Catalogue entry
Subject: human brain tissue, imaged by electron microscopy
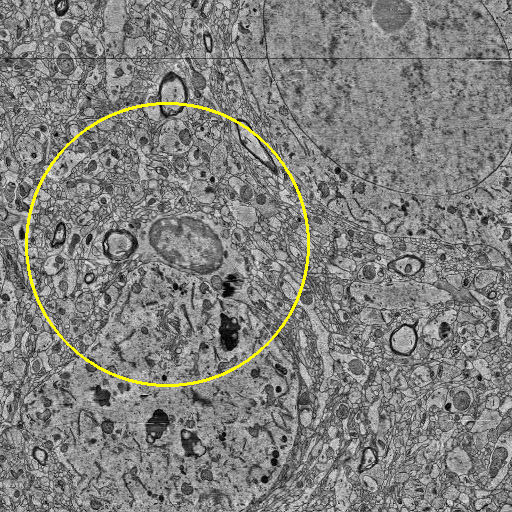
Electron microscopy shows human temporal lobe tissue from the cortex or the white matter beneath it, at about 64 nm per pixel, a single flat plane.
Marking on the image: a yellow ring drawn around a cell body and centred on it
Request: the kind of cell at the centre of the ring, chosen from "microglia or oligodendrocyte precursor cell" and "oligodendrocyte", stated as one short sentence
The ring has an oligodendrocyte at its centre.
